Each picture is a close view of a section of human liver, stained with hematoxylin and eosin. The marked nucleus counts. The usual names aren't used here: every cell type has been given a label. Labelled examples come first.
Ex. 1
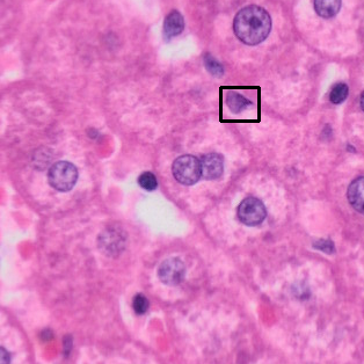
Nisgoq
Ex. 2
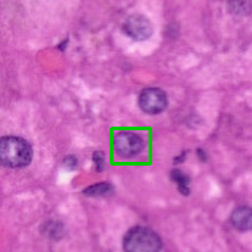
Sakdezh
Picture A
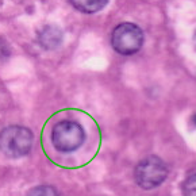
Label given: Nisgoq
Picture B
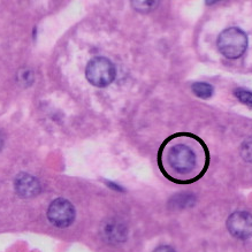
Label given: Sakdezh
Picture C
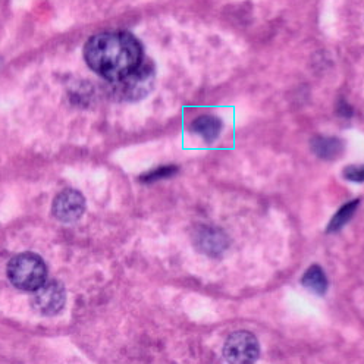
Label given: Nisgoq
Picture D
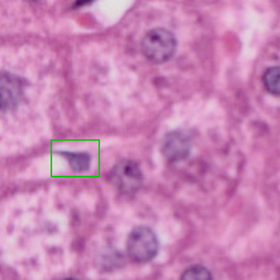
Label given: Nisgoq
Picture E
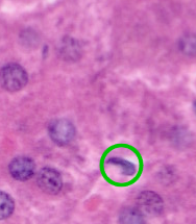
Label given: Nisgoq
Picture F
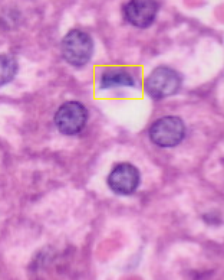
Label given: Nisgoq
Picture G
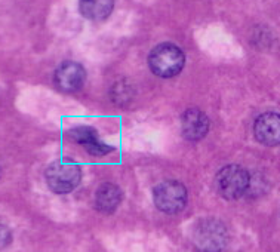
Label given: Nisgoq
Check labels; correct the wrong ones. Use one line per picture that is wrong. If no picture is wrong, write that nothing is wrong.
Wrong: A (Nisgoq); correct: Sakdezh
